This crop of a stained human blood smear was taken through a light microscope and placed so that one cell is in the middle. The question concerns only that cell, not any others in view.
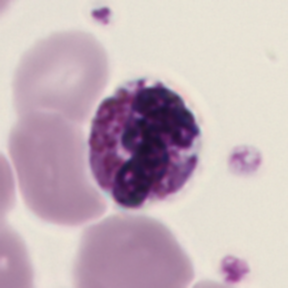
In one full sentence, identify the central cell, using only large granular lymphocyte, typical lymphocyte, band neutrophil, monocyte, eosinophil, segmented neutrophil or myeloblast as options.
The cell in the middle of this crop is an eosinophil.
